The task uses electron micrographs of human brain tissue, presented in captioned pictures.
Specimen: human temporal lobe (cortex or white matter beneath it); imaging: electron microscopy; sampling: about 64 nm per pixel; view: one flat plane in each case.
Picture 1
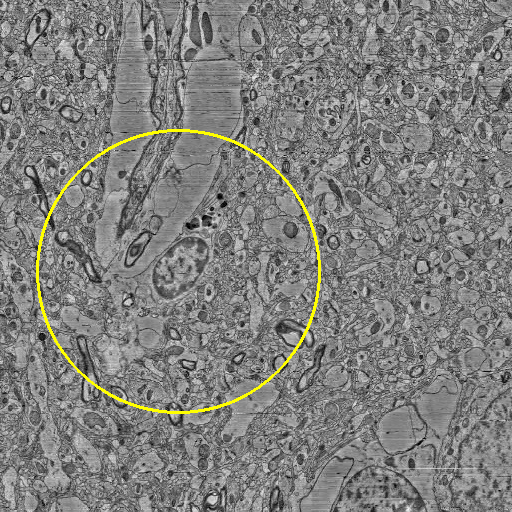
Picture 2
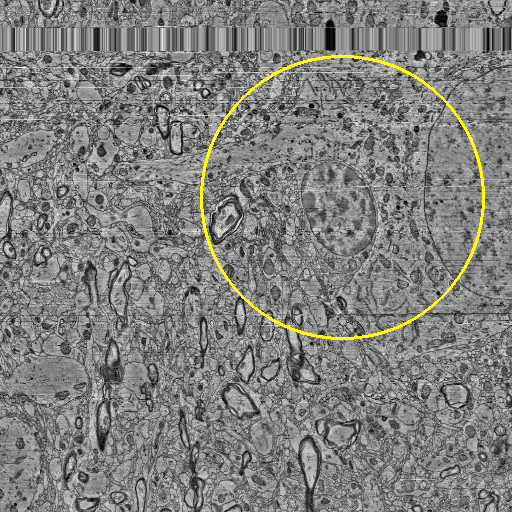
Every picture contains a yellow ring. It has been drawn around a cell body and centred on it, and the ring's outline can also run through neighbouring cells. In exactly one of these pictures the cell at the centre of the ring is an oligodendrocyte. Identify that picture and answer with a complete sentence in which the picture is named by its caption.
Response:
The ring in Picture 2 is centred on that kind of cell.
